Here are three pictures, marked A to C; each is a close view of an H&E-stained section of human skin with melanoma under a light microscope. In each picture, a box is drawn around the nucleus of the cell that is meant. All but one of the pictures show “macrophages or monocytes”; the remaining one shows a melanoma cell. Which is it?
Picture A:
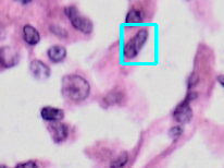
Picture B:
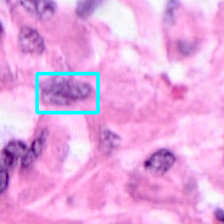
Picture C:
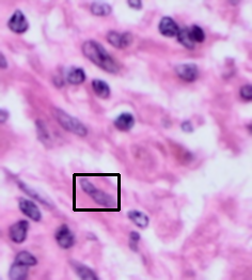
B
